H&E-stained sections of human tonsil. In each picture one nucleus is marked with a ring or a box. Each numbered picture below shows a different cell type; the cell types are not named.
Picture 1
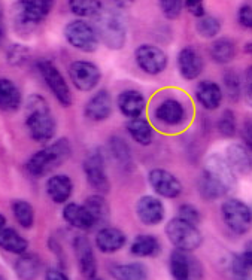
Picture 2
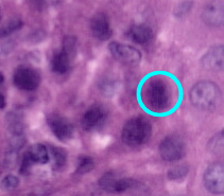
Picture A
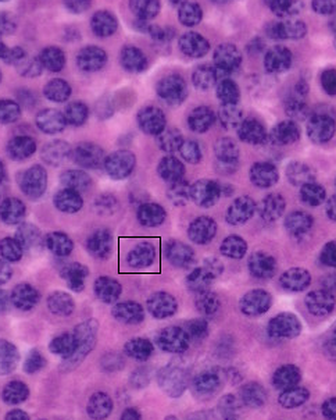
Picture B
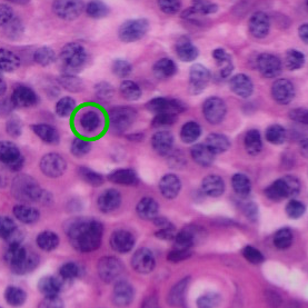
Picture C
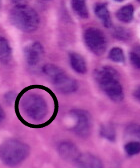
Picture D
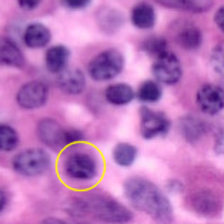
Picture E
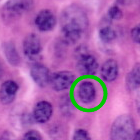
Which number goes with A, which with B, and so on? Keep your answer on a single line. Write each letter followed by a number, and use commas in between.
A 1, B 1, C 2, D 1, E 1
